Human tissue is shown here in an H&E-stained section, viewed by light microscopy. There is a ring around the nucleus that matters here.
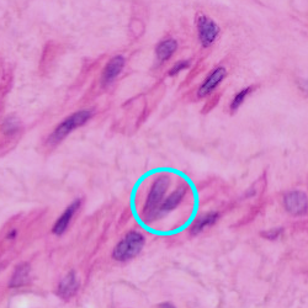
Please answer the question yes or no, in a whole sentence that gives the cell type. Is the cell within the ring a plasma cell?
No, as a cell type, the cell within the ring is a smooth muscle cell or pericyte rather than a plasma cell.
